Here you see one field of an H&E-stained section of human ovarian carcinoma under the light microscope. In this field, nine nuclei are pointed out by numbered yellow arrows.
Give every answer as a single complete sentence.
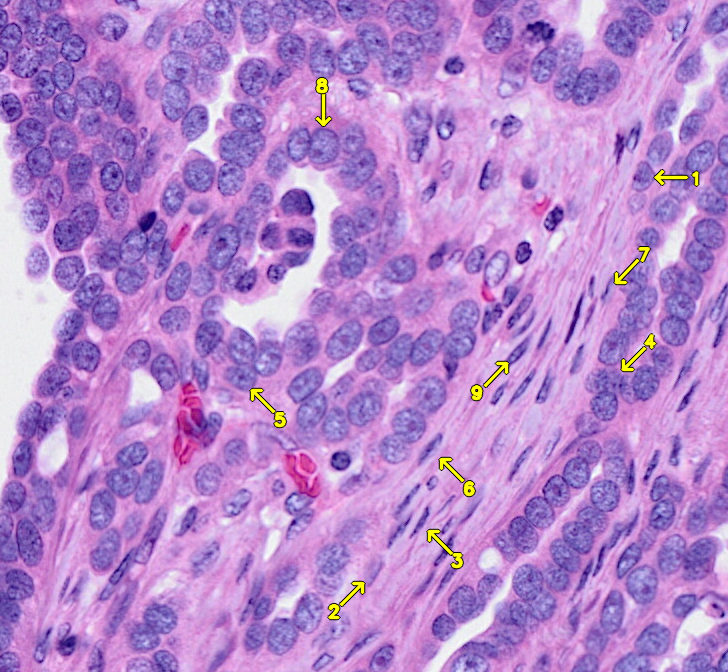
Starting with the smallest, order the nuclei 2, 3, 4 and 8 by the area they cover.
From smallest to largest, the order is 3, 2, 4, 8.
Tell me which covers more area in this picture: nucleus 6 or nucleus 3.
Nucleus 6 is the larger one, covering about 1.5 times the area of nucleus 3.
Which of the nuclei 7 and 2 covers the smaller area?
With nucleus 2 about 2 times its size, nucleus 7 is the smaller of the two.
